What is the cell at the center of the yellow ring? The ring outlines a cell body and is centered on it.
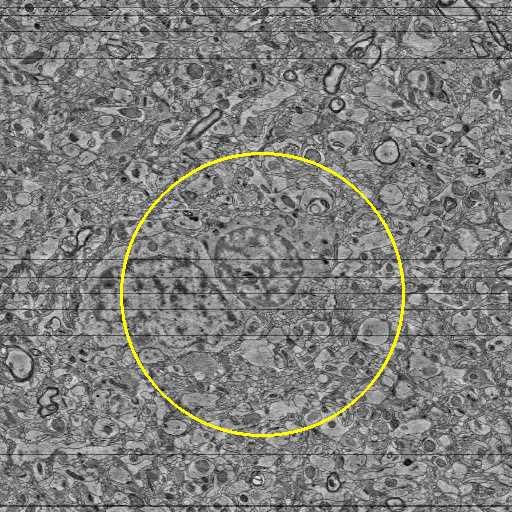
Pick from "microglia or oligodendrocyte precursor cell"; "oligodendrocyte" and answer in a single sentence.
The yellow ring is centered on an oligodendrocyte.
